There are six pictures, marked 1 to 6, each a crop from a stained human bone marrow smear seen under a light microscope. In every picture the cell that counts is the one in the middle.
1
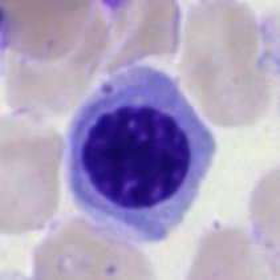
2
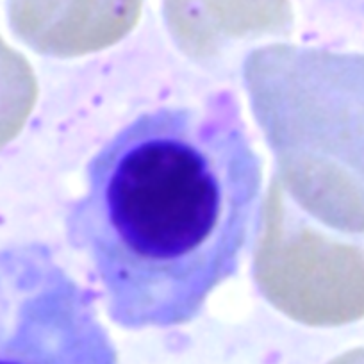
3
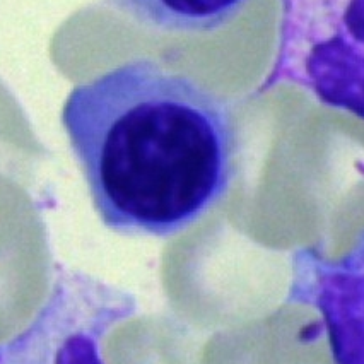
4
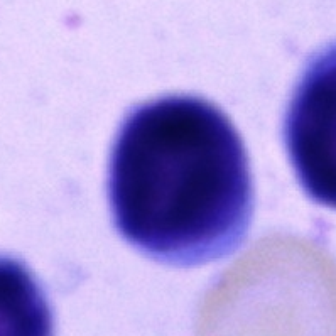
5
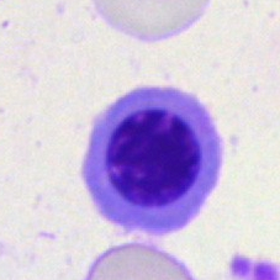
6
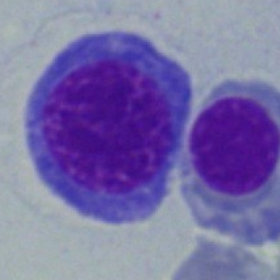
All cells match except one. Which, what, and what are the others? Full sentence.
Excluding crop 4, which is a lymphocyte, the crops all show erythroblasts.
